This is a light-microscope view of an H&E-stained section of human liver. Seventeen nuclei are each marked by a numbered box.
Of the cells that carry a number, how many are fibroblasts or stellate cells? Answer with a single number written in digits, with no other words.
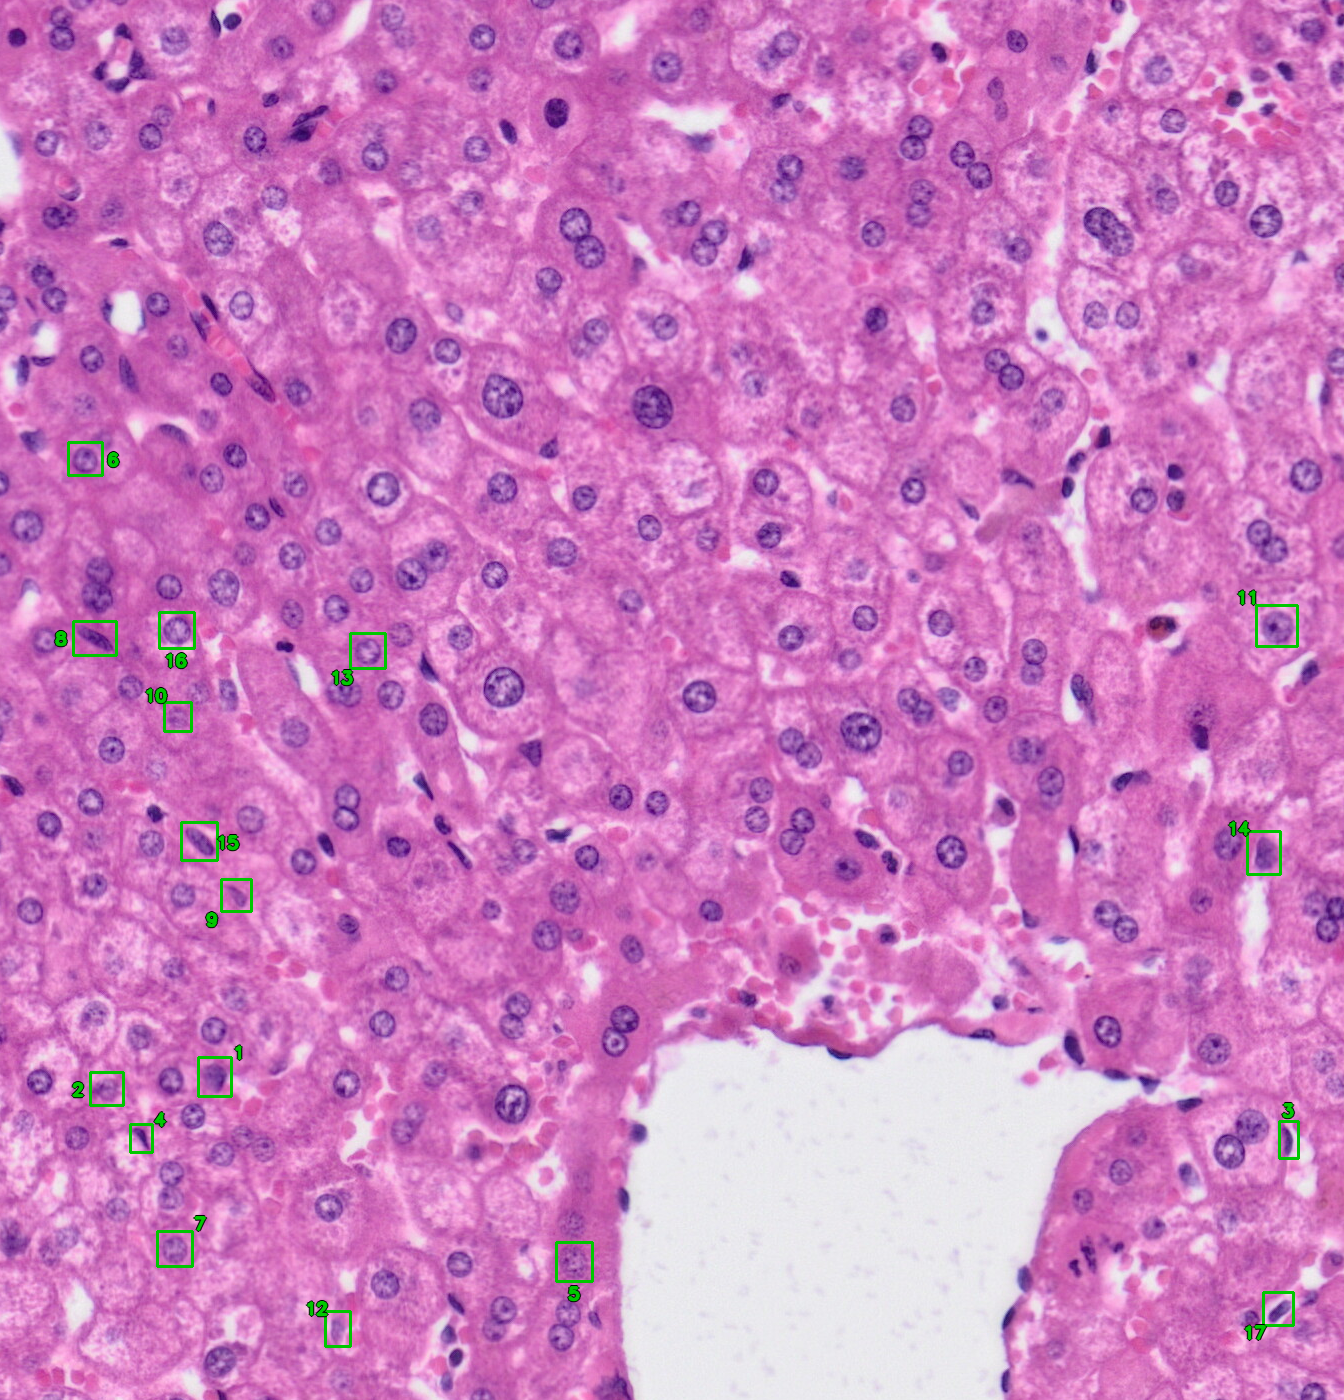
2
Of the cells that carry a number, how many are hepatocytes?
8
